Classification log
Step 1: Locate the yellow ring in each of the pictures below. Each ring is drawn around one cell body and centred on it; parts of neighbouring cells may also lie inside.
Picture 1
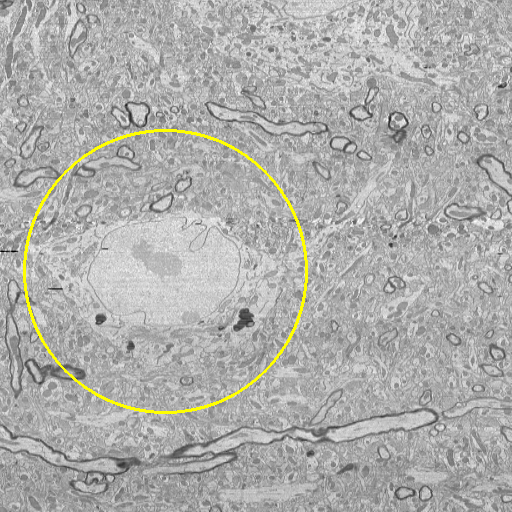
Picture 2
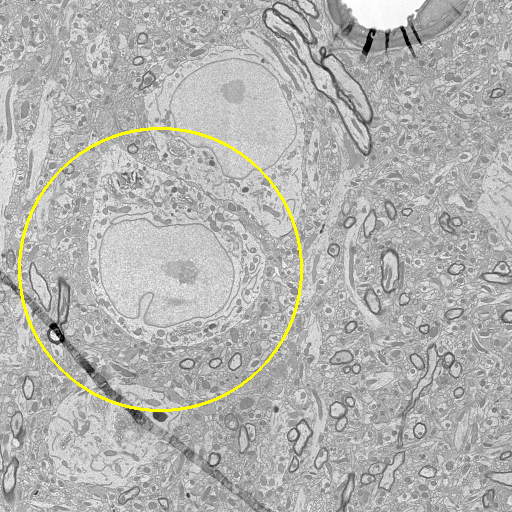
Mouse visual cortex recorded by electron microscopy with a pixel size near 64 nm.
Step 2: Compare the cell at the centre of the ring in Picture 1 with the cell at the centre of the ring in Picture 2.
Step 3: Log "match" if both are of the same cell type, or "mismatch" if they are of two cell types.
mismatch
